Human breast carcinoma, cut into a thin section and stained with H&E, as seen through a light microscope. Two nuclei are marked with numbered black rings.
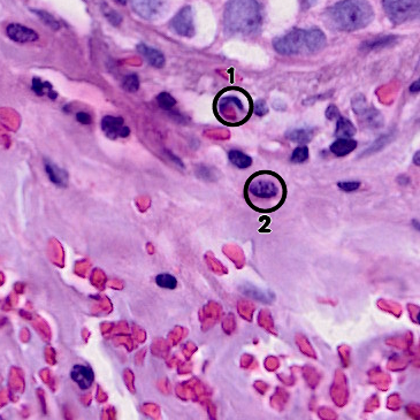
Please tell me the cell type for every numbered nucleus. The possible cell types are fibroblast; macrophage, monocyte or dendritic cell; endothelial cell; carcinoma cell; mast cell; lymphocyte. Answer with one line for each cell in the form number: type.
1: endothelial cell
2: mast cell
